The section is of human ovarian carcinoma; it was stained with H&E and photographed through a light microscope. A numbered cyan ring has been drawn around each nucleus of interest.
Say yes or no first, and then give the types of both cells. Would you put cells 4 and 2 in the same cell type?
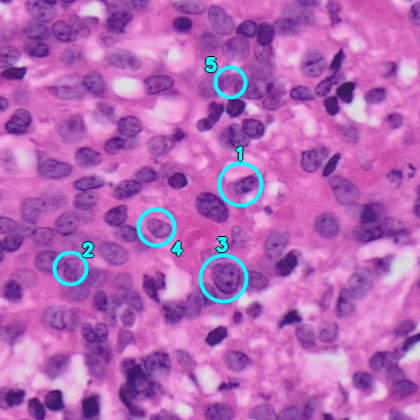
No, what is marked as cell 4 is a macrophage or monocyte, and what is marked as cell 2 is a carcinoma cell.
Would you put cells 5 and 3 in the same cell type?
Yes, cell number 5 and cell number 3 are both carcinoma cells.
